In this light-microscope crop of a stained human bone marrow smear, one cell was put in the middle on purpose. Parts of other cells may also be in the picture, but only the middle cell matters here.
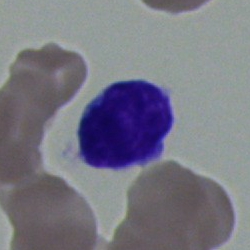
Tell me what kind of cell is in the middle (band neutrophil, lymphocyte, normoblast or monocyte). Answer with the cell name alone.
lymphocyte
